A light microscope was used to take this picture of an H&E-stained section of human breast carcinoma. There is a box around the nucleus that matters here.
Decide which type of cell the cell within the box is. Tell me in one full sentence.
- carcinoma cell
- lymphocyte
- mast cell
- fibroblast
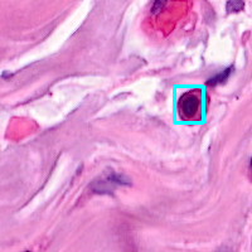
In this tissue sample, the cell within the box is a mast cell.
